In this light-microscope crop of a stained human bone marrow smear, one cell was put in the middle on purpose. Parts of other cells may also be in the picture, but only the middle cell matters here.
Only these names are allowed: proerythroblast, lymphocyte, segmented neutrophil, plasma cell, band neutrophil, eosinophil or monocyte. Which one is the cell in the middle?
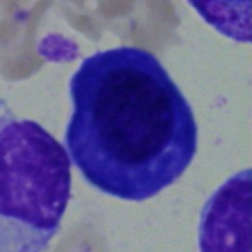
plasma cell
